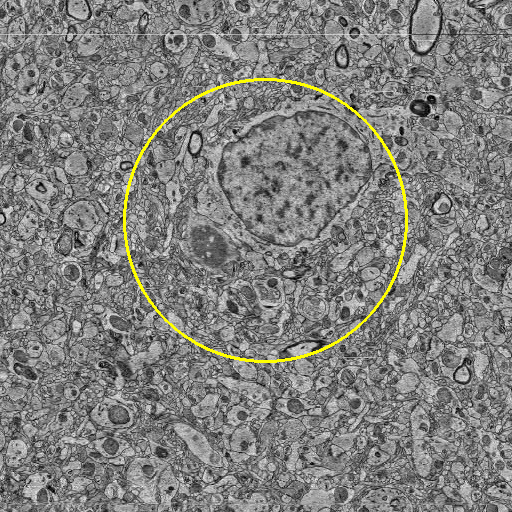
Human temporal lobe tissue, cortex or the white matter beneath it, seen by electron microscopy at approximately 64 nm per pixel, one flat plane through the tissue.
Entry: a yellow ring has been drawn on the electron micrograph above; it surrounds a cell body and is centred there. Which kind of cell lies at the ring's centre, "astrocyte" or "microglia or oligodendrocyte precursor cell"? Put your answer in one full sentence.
The cell sitting at the ring's centre is a microglial cell or oligodendrocyte precursor cell in the micrograph above.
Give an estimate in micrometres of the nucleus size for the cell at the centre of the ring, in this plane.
The nucleus appears about 9 micrometres across in this plane.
